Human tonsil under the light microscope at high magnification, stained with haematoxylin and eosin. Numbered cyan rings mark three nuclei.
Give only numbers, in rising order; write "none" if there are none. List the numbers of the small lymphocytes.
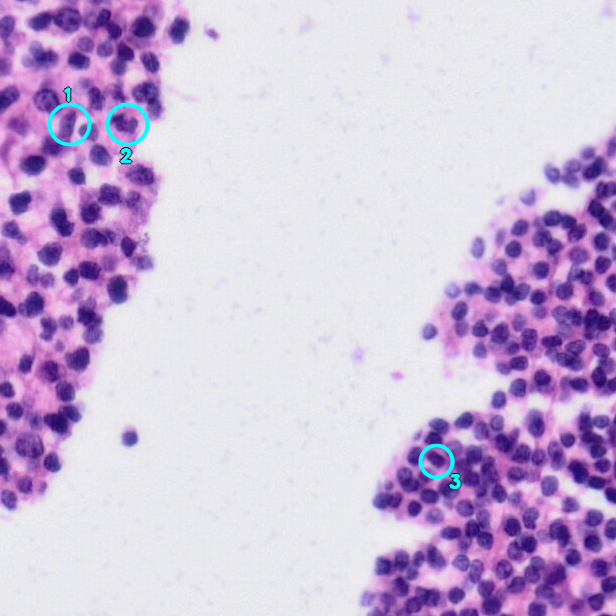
3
